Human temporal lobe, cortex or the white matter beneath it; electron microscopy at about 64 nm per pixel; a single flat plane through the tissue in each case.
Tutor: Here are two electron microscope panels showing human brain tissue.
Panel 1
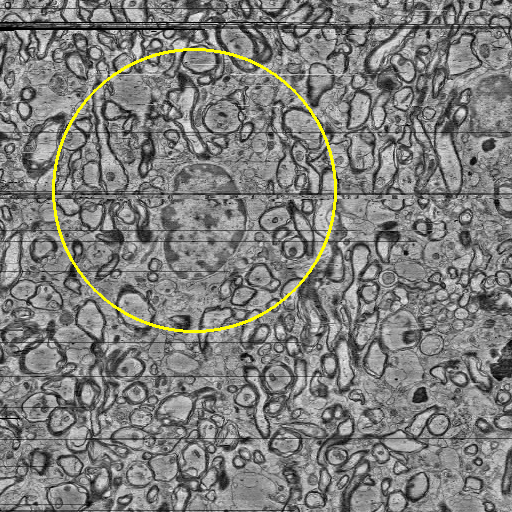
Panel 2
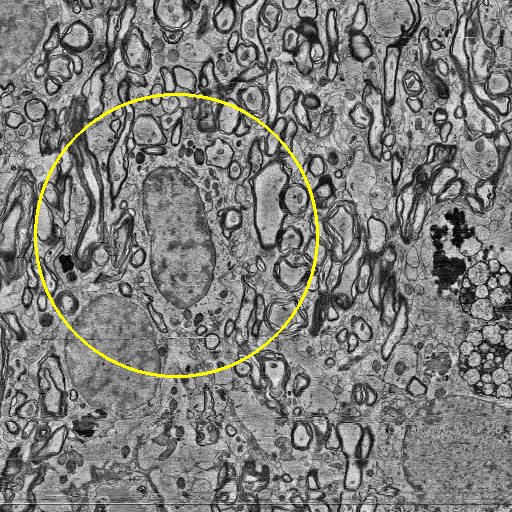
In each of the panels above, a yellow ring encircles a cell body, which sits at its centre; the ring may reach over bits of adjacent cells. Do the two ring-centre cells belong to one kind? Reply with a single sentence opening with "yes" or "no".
Yes, the two cells sitting at the ring centres in the panels belong to one kind.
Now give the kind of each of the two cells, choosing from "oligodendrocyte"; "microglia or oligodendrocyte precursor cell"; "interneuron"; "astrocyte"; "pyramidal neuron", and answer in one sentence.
The ring centre holds a microglial cell or oligodendrocyte precursor cell in each of the two pictures.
